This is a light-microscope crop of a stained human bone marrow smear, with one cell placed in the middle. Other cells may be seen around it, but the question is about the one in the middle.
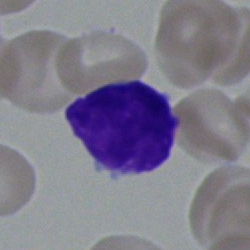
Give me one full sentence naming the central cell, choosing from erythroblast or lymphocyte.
The centered cell in this crop is a lymphocyte.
